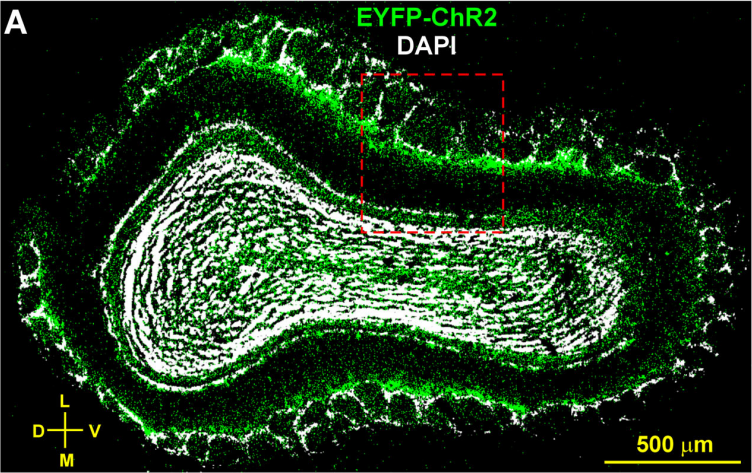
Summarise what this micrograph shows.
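This low-power coronal section through the olfactory bulb shows its concentric layers. The centre is a granule cell layer, dense with white nuclei arranged in parallel streaks. Further out, a bright green band marks the cells at the outer edge of this zone. At the periphery, a ring of rounded glomeruli is outlined by white nuclei.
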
